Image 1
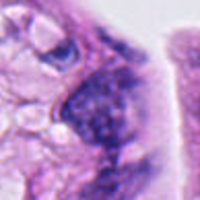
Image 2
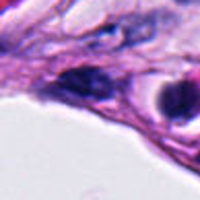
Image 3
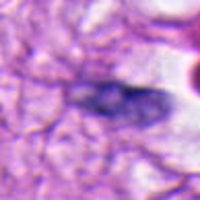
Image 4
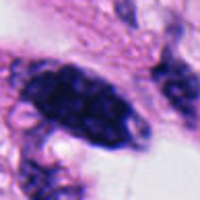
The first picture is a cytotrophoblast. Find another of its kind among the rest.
Picture 2.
